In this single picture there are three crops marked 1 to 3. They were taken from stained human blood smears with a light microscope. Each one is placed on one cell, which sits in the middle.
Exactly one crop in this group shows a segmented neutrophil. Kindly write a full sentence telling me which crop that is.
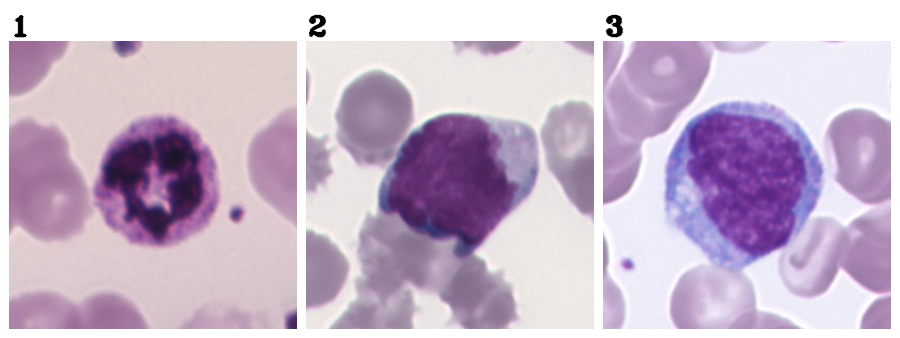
The crop that has a segmented neutrophil in the middle is crop 1.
